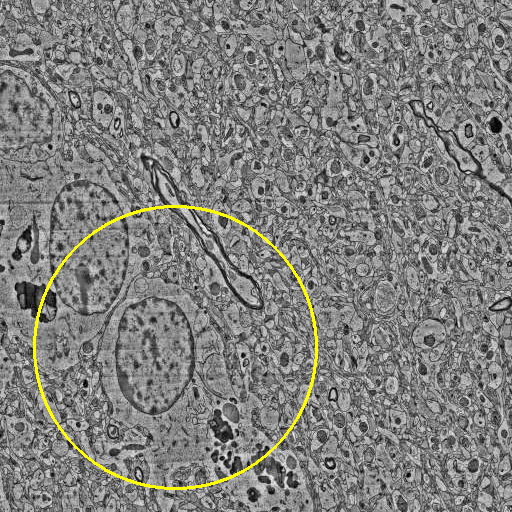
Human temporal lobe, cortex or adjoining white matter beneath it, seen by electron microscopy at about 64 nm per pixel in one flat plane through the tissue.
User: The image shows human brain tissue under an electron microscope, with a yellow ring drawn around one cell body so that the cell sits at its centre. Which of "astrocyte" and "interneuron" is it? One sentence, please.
At the centre of the ring sits an astrocyte.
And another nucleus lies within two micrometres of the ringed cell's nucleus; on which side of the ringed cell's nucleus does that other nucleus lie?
The other nucleus can be seen to the upper left of it.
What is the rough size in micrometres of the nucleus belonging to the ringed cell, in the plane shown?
The nucleus of the ringed cell is clearly longer than it is wide in this plane, about 7 by 5 micrometres.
